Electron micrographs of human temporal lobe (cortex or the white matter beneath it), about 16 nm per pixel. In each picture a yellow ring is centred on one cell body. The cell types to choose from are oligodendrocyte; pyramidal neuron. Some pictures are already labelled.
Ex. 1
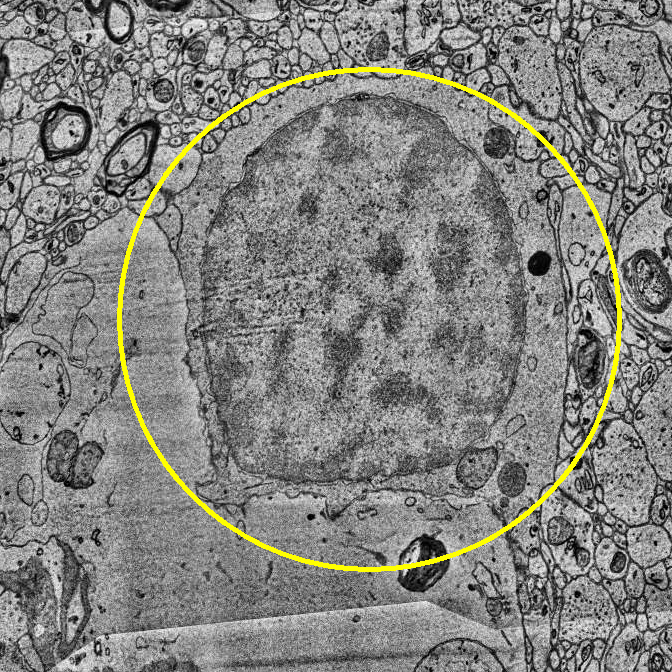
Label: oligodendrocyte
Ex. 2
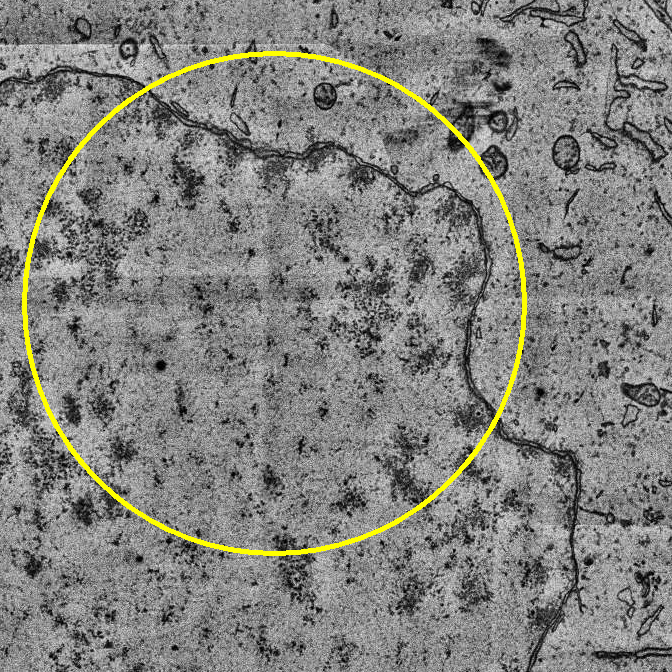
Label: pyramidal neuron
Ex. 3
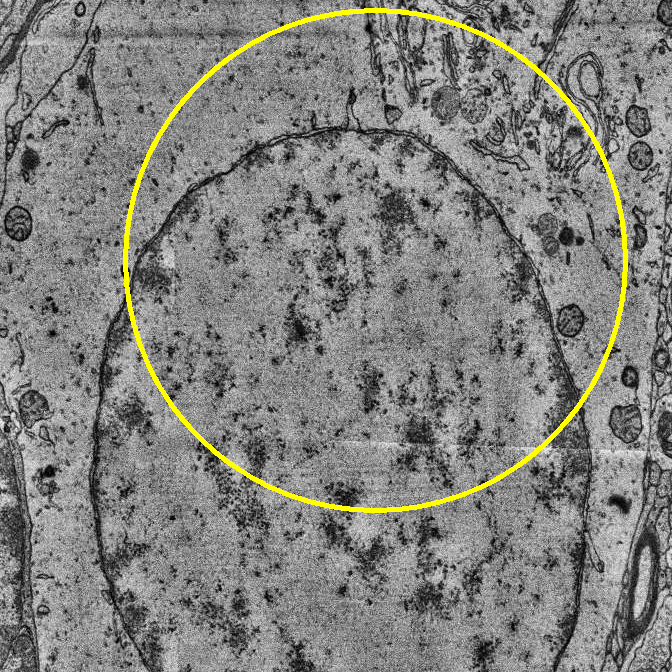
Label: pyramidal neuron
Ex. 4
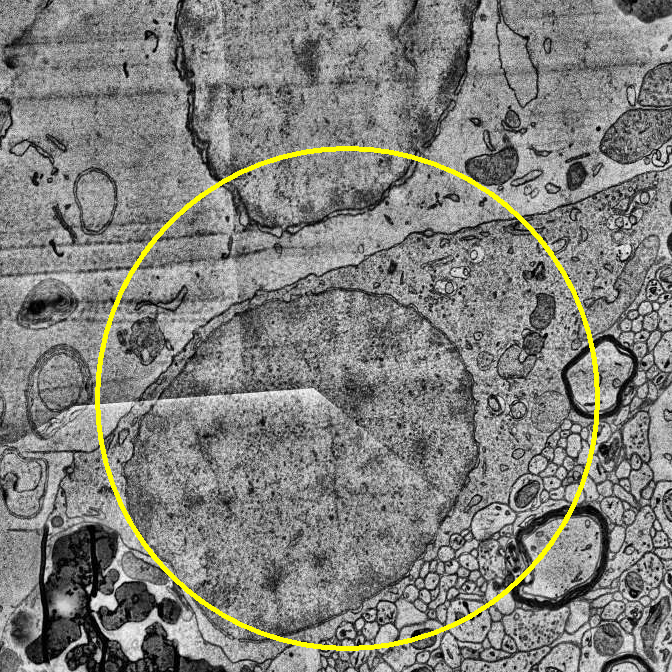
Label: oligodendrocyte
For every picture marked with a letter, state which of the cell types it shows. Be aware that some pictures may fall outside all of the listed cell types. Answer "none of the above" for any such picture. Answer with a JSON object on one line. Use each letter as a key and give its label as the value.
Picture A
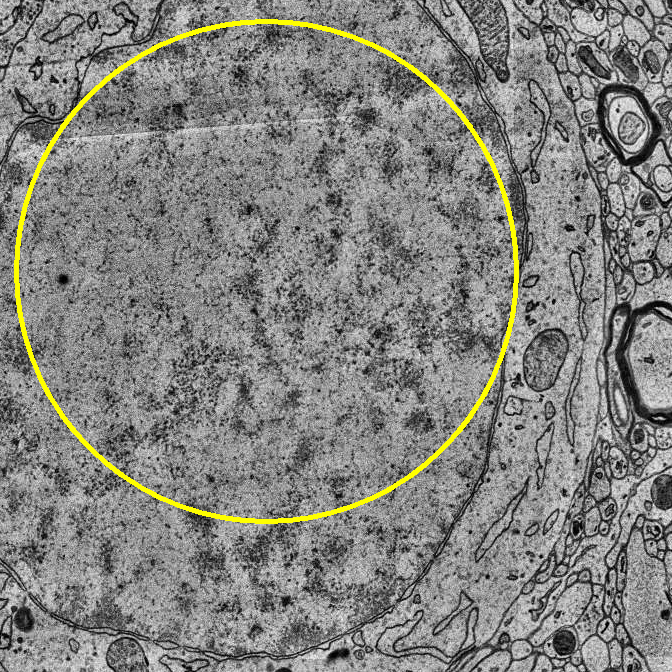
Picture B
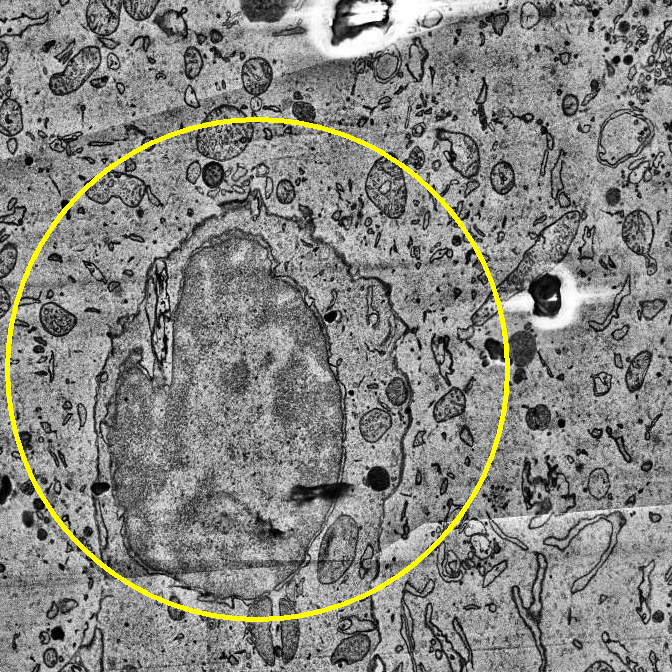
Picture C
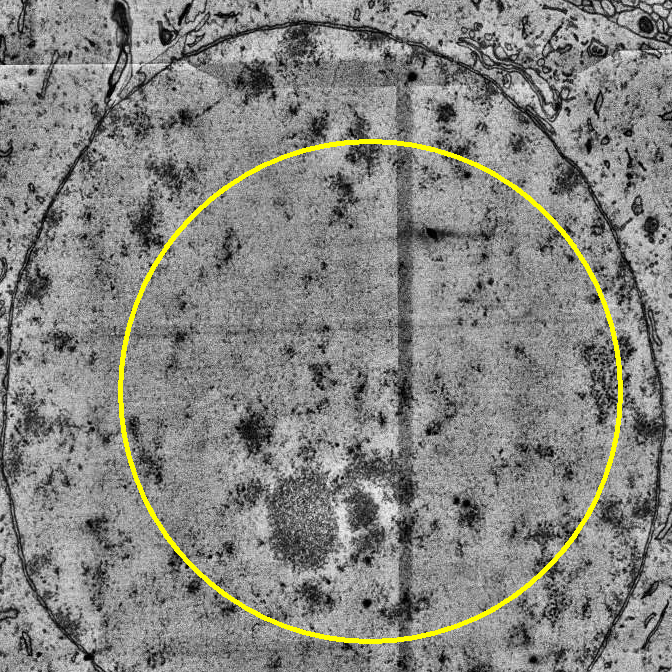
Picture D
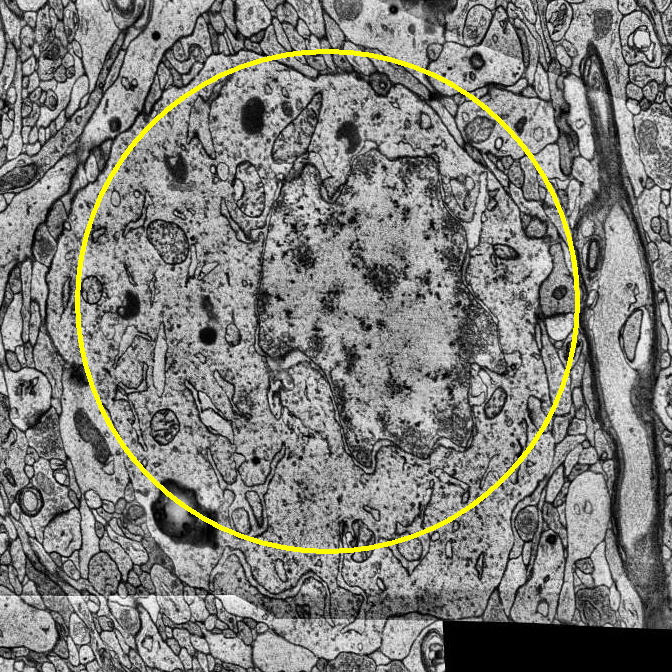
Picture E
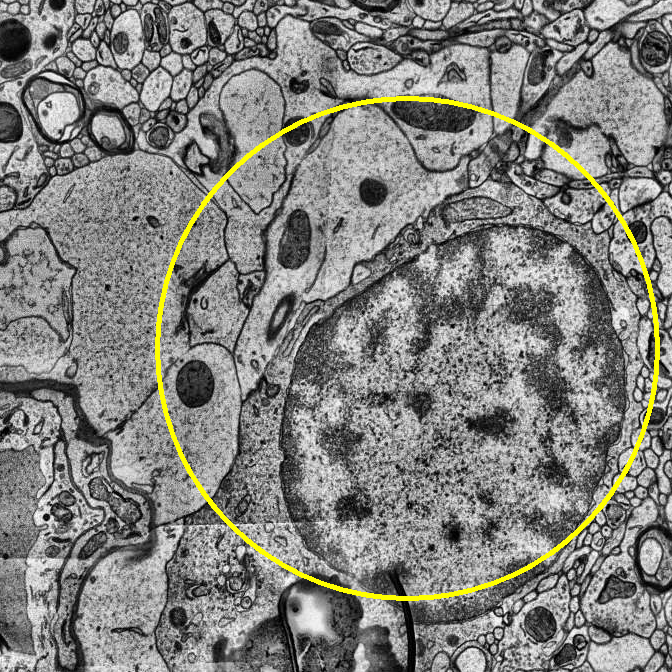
{"A": "none of the above", "B": "oligodendrocyte", "C": "pyramidal neuron", "D": "none of the above", "E": "oligodendrocyte"}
